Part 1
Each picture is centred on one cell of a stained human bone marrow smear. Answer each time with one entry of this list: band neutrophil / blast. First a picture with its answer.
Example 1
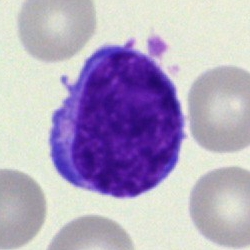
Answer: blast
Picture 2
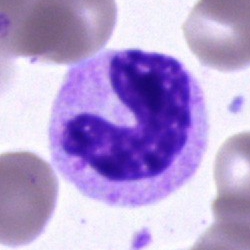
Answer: band neutrophil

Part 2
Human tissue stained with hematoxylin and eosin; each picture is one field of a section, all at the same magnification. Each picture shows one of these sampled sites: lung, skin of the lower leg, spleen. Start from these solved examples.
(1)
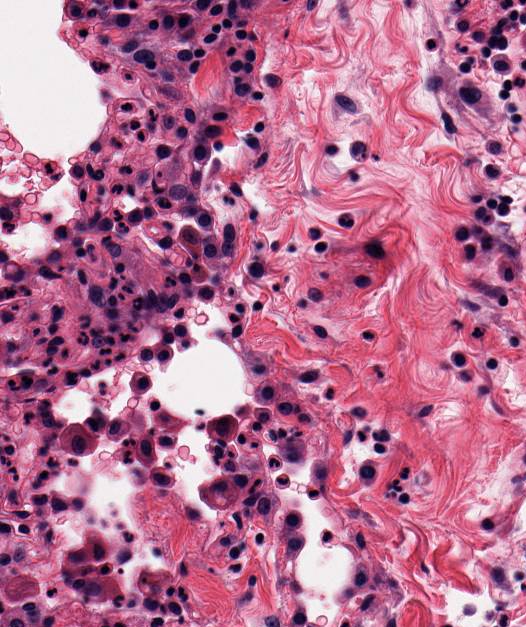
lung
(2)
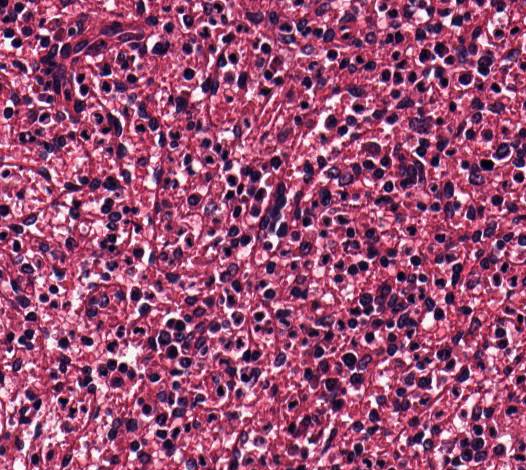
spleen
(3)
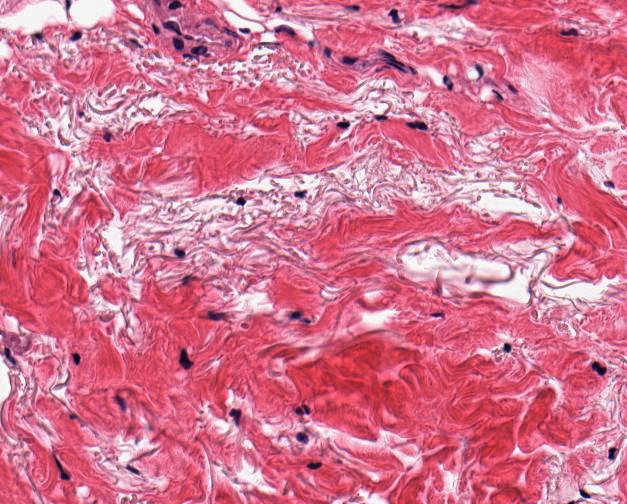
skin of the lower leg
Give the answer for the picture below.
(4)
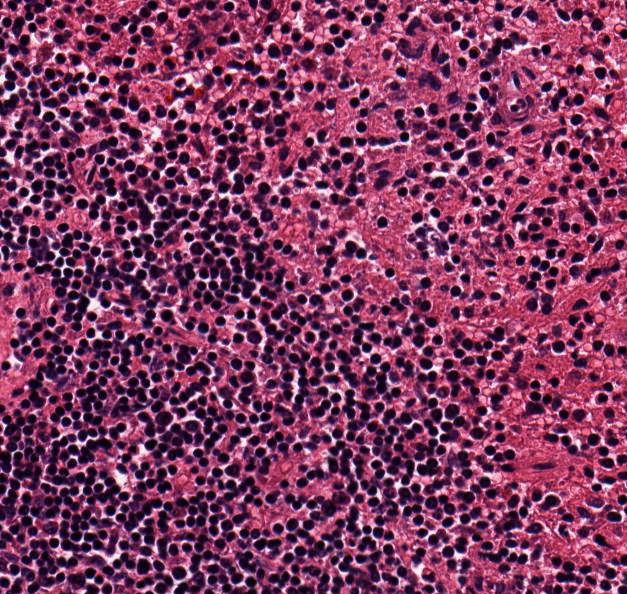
spleen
